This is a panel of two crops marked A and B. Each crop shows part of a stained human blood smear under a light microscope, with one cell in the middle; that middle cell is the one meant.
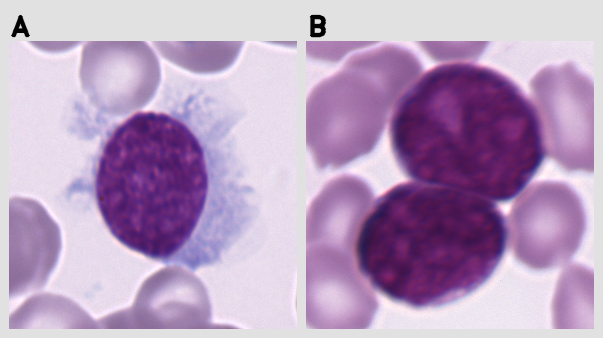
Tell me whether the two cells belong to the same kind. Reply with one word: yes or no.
no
